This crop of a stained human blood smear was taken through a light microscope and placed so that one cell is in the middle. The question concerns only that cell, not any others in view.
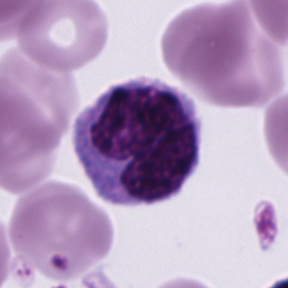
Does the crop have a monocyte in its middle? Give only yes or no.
yes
